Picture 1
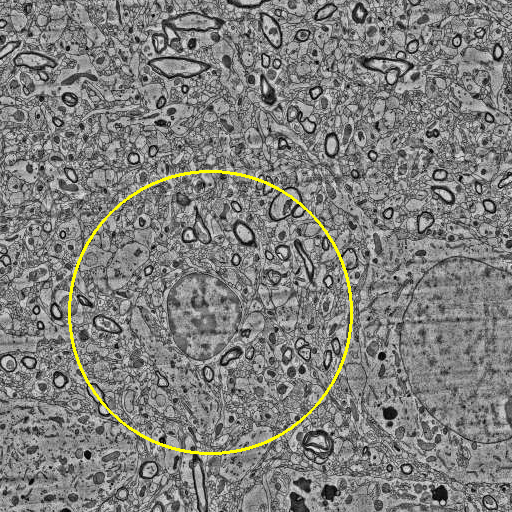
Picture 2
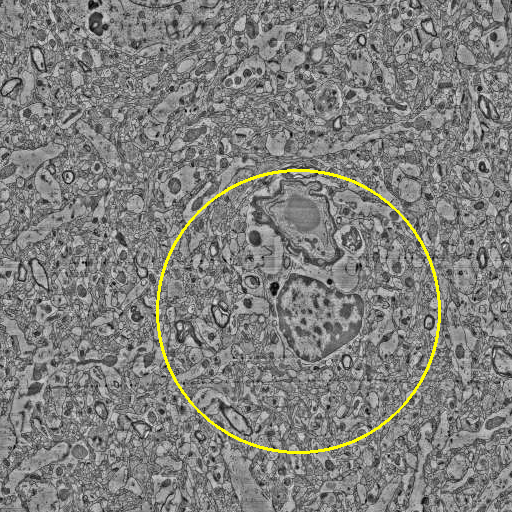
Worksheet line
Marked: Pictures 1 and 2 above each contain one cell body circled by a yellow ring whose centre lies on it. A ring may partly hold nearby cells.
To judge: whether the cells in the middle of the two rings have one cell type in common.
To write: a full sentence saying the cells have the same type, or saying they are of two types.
The cells in the middle of the rings in Picture 1 and Picture 2 have the same type.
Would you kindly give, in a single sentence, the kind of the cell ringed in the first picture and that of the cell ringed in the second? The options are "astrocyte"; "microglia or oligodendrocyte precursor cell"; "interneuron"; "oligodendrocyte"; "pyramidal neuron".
In each picture the ringed cell is a microglial cell or oligodendrocyte precursor cell.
